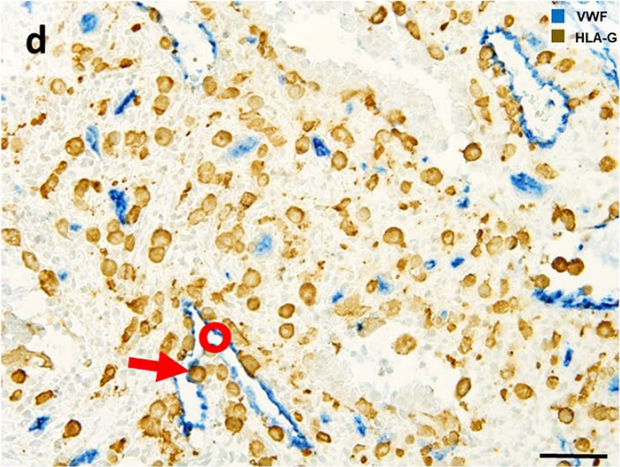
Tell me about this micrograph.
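This is decidual stroma densely populated by extravillous trophoblast cells, which appear as brown, mostly rounded to polygonal cells lying between pale unstained stromal cells. Small vessels are outlined by thin blue endothelial linings, and brown cells sit right at and within these small vessels.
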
